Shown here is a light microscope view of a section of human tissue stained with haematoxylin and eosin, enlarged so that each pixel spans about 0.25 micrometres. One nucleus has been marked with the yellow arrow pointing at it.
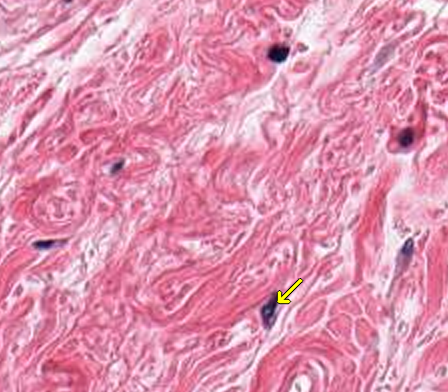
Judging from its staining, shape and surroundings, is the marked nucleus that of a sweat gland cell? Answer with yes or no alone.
no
